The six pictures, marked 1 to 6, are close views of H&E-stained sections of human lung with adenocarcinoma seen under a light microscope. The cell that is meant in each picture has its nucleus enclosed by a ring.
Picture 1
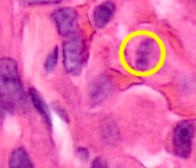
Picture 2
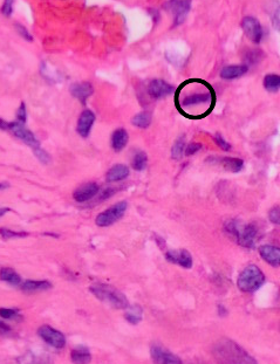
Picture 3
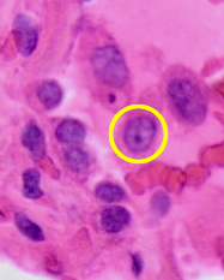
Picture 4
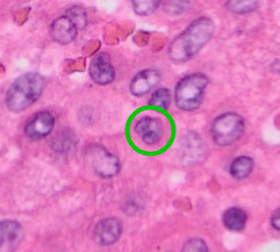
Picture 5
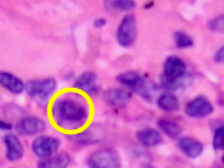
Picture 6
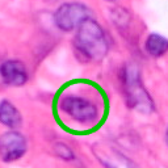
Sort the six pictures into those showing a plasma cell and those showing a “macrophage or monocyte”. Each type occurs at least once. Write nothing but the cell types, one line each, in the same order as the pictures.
macrophage or monocyte
plasma cell
macrophage or monocyte
macrophage or monocyte
plasma cell
plasma cell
